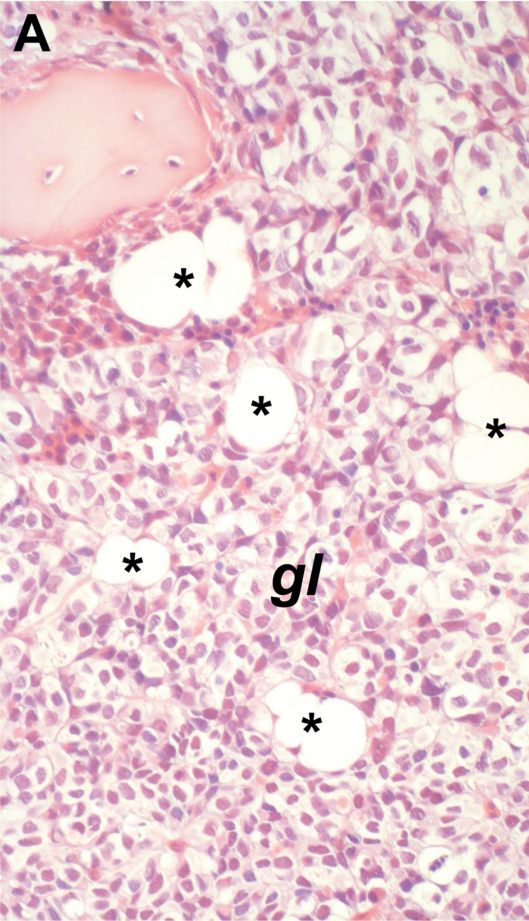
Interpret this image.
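Bone marrow with a sheet of tumour cells that have pleomorphic purple nuclei and pale or clear cytoplasm. Large round empty spaces of fat cells lie scattered among the tumour cells. Bands of small dark-nucleated blood-forming cells with red cells run between them. At the upper left there is an acellular pink bony trabecula with a few lacunae.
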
